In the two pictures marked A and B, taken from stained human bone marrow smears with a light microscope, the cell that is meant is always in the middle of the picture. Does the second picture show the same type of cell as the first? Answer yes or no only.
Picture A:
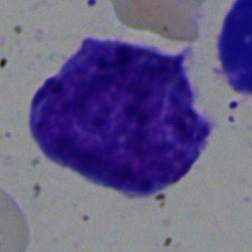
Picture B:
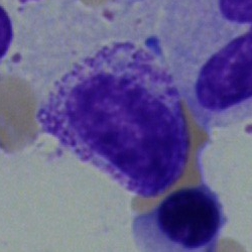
no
